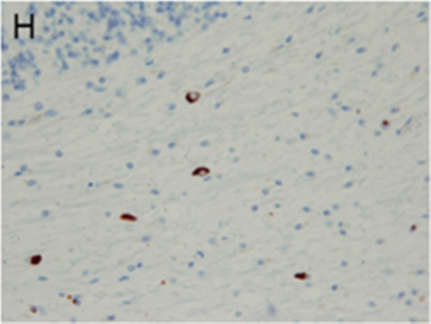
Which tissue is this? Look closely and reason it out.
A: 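A dense band of small, tightly packed round blue nuclei lies at the upper left corner. The rest of the field is pale, finely fibrous tissue with scattered small nuclei lined up along the fibres.
Conclusion: cerebellar white matter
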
